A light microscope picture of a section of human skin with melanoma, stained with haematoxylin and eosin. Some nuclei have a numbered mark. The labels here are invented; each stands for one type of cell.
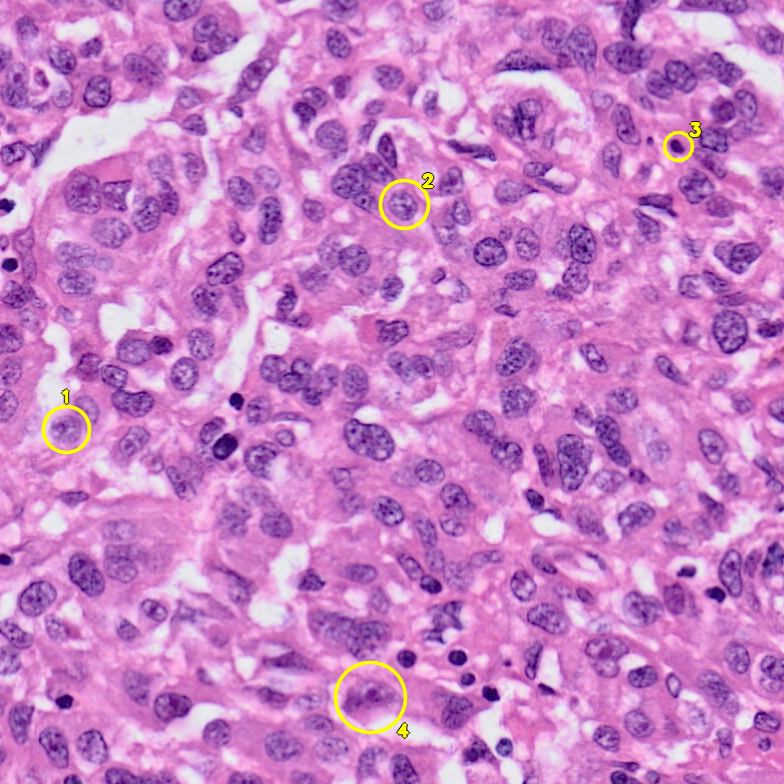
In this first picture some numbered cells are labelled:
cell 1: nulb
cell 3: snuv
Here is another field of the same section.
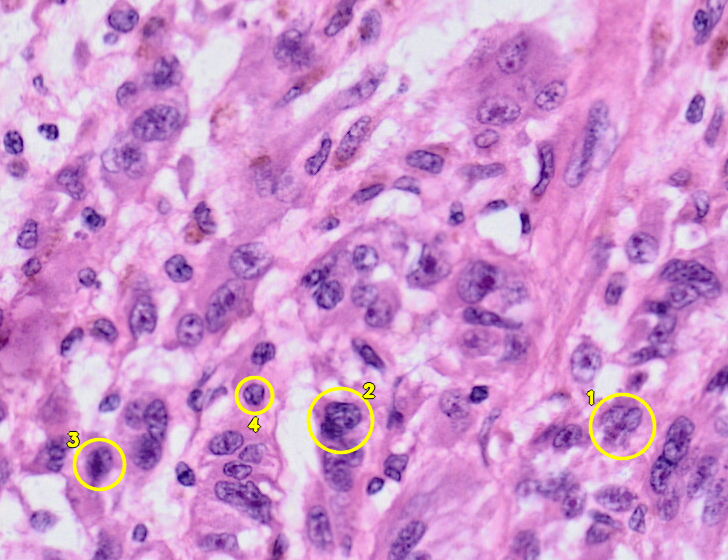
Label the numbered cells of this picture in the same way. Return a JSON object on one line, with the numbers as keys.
{"1": "nulb", "2": "nulb", "3": "nulb", "4": "snuv"}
